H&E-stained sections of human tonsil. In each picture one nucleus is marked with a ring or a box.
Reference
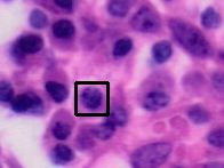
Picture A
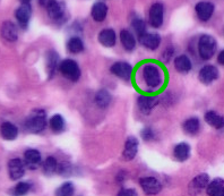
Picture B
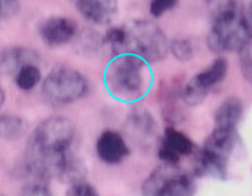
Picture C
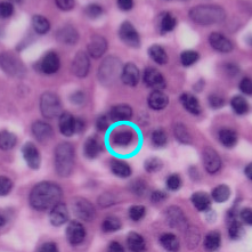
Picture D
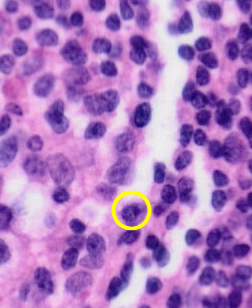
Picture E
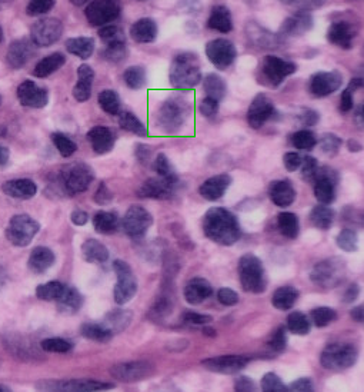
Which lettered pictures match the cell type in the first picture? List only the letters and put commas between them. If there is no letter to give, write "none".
A, C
